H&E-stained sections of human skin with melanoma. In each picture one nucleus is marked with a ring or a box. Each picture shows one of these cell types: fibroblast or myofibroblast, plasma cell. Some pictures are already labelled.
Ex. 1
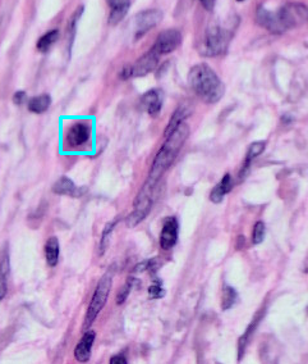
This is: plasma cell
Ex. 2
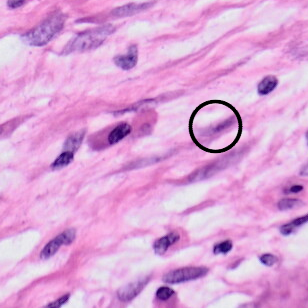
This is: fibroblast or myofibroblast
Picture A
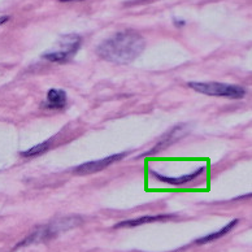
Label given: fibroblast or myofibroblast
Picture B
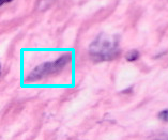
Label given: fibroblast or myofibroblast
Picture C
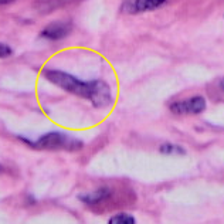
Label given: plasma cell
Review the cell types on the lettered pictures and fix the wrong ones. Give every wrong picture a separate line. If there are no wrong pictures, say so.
C: not plasma cell but fibroblast or myofibroblast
